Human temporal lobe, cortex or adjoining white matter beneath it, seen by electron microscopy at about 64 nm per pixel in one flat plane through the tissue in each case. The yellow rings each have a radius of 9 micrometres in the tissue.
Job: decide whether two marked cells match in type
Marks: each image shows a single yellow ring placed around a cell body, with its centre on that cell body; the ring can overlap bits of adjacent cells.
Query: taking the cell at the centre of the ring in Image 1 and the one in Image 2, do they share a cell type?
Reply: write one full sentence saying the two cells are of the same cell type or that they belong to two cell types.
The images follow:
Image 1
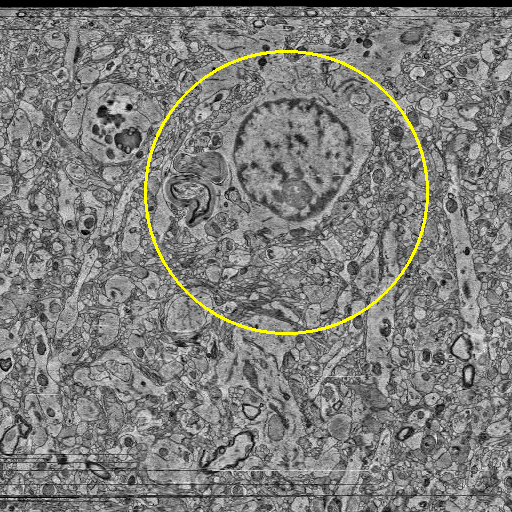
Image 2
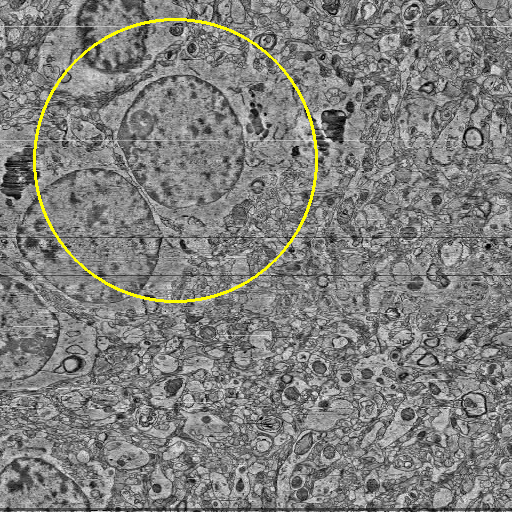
The cells at the ring centres in Image 1 and Image 2 are of the same cell type.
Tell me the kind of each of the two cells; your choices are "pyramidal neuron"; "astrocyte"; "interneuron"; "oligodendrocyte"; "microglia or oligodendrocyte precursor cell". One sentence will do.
Each cell at the centre of a ring is an astrocyte.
